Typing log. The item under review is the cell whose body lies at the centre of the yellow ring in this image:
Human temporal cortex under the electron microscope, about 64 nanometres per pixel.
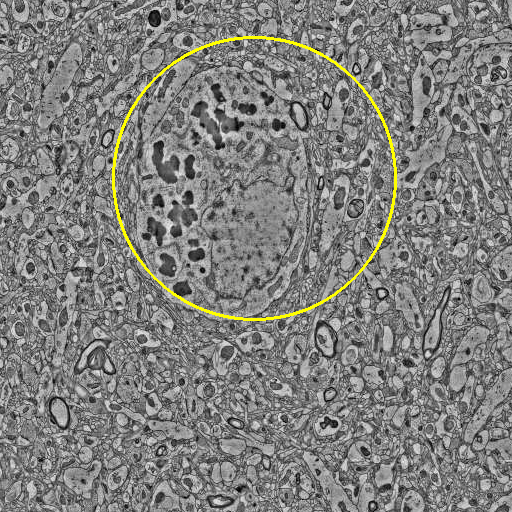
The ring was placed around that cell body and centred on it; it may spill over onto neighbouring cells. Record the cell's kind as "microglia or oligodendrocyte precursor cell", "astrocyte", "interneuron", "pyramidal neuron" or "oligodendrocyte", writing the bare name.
interneuron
